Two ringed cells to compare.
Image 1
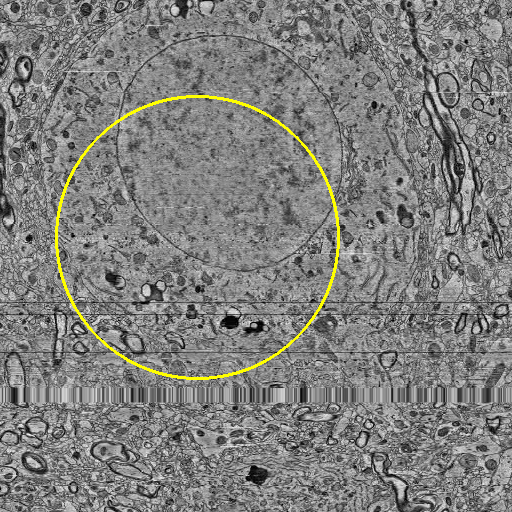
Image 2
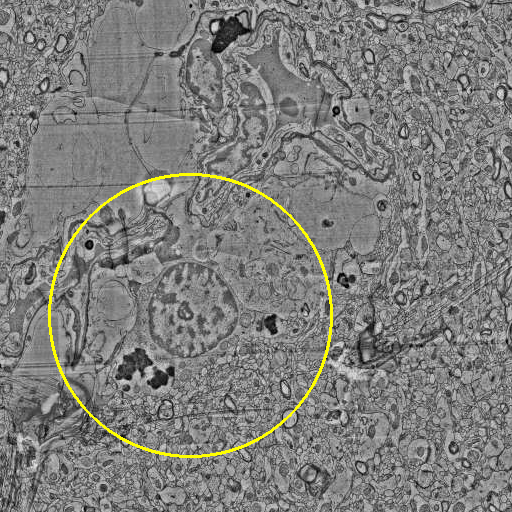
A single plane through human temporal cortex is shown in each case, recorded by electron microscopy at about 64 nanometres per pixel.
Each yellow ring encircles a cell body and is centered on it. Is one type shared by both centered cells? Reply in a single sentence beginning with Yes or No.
No, two types are found among the cells at the centers of the rings.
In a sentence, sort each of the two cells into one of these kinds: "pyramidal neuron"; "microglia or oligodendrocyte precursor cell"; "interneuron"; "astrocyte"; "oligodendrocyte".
The first of the two cells is a pyramidal neuron, and the second is an oligodendrocyte.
